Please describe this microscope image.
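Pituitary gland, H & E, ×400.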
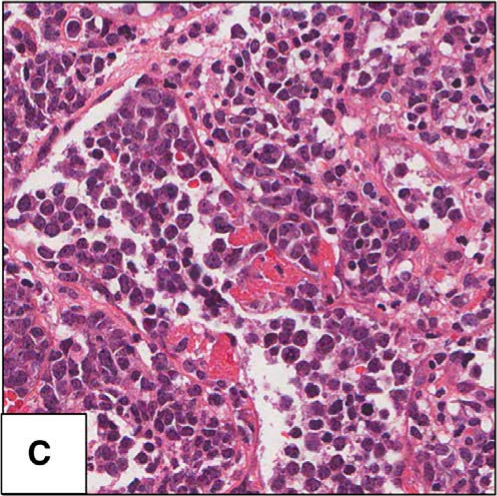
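The cells are large and round, with large round nuclei that take up most of the cell and only a thin rim of cytoplasm. The cells lie crowded together in groups bounded by thin pink fibrous walls, with a few red blood cells and small spaces between them. Little normal glandular tissue is left between the packed cell groups.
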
